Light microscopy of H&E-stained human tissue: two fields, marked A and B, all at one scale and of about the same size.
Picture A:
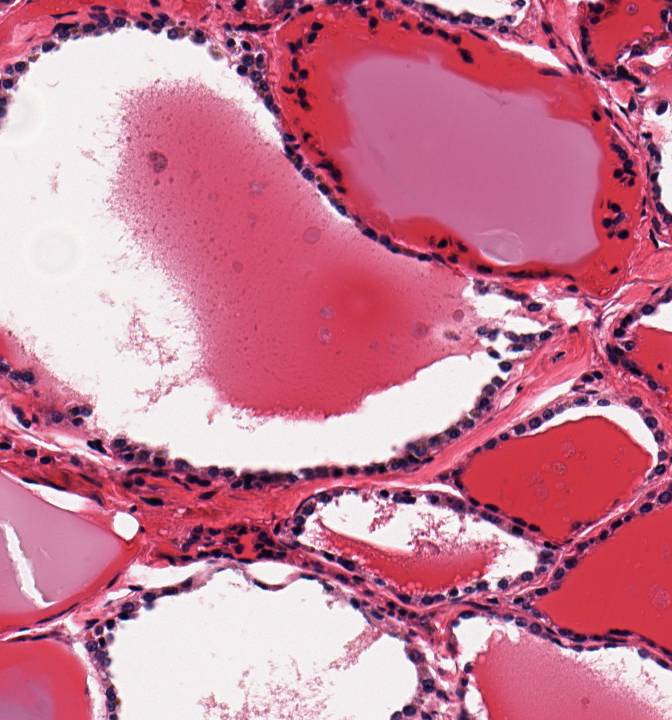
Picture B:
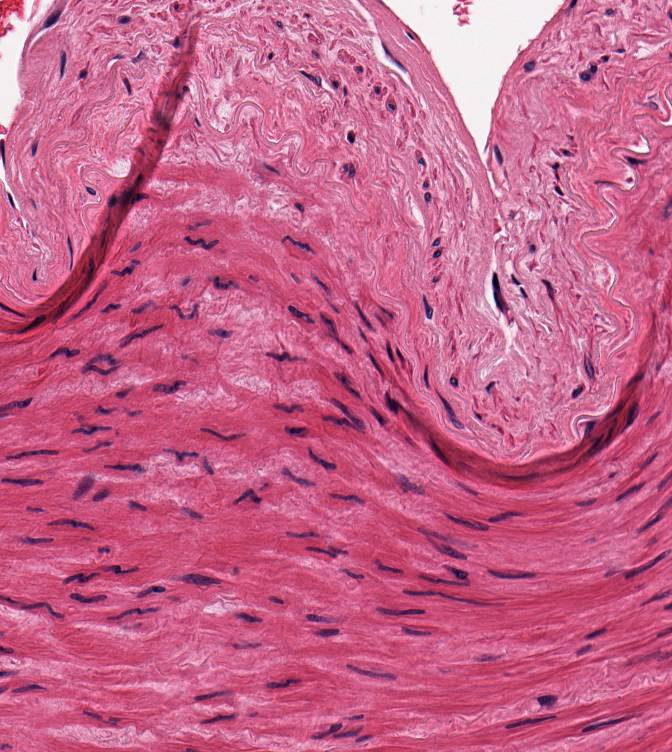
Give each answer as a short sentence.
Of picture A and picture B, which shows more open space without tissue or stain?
Picture A has more white space.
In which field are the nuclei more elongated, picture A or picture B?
It is picture B whose nuclei are the more elongated.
